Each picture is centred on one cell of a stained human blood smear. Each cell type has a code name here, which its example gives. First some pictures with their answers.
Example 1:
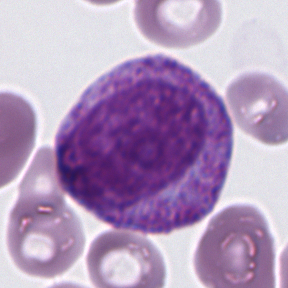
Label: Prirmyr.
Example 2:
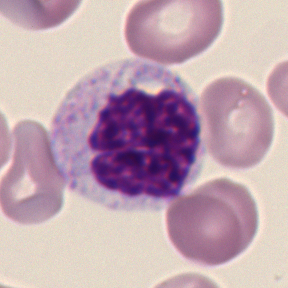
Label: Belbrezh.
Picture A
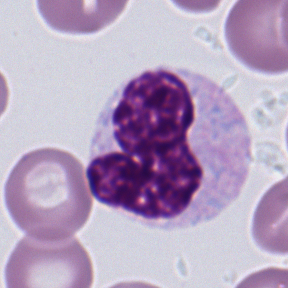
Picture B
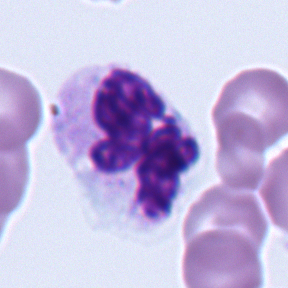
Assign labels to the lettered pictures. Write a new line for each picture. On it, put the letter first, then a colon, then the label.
A: Belbrezh.
B: Belbrezh.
